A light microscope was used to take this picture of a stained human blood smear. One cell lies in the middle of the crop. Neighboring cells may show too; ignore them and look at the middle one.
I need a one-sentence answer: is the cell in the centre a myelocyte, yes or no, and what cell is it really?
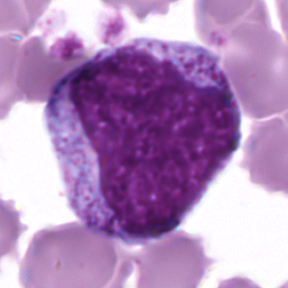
No, the cell in the centre is a promyelocyte instead of a myelocyte.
